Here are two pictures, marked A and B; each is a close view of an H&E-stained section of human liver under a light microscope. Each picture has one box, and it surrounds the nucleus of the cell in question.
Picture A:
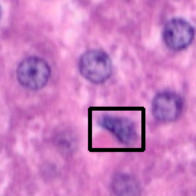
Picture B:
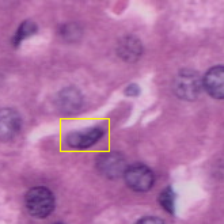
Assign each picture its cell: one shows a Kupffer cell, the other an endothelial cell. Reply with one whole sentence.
It is picture A that shows an endothelial cell, and picture B that shows a Kupffer cell.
